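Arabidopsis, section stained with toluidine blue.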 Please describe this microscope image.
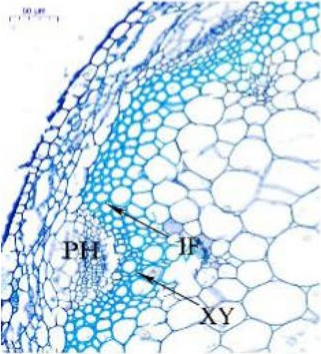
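Part of a stem cross-section showing, from the outer edge inward, a thin layer of epidermal and cortical cells, a vascular bundle, a band of interfascicular fibers and large pith cells. A cluster of small, thin-walled phloem cells lies toward the outside of the bundle, with xylem cells whose walls stain strong blue just inside it. The interfascicular fibers form a band of polygonal cells with thickened blue walls, while the pith inside consists of large, rounded, thin-walled cells that stain only pale blue.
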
